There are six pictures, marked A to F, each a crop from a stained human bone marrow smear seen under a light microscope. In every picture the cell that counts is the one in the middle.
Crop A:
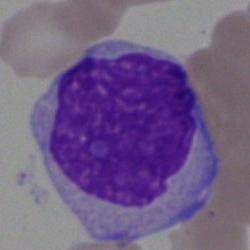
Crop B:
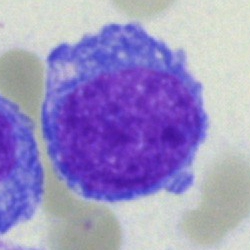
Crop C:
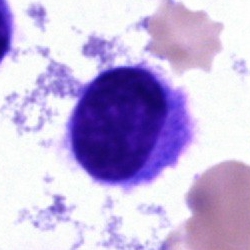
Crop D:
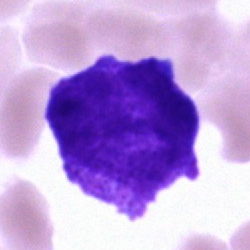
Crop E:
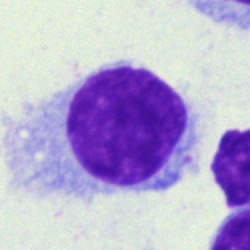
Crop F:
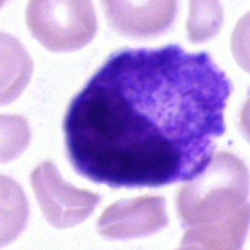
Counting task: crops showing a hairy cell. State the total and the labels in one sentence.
Answer for the set: two crops show hairy cells, namely crops C and E.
